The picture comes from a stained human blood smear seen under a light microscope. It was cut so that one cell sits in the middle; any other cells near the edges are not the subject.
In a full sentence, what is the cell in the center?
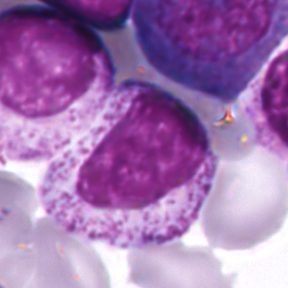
By classification, the middle cell of this crop is a myelocyte.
